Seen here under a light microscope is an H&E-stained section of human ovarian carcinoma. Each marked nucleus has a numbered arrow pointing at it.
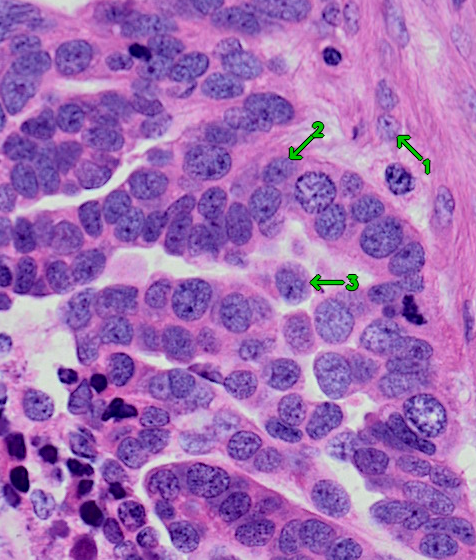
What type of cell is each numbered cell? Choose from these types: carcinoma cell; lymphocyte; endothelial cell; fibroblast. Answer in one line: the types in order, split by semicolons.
fibroblast; carcinoma cell; carcinoma cell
